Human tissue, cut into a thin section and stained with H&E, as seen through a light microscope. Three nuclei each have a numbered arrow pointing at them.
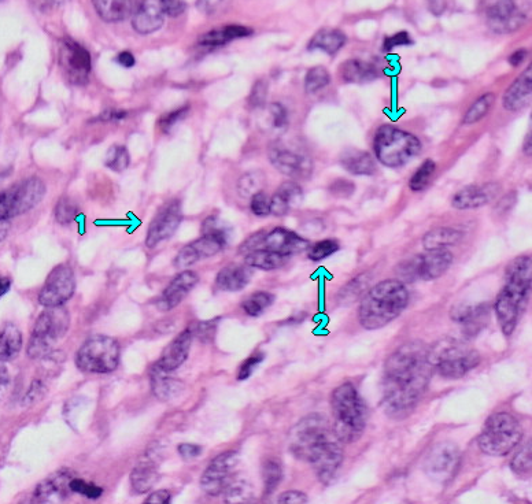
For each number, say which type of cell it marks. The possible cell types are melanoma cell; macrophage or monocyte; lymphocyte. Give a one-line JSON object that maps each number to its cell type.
{"1": "melanoma cell", "2": "lymphocyte", "3": "melanoma cell"}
